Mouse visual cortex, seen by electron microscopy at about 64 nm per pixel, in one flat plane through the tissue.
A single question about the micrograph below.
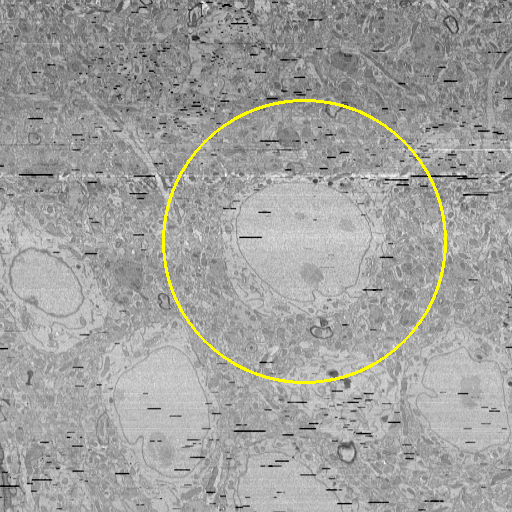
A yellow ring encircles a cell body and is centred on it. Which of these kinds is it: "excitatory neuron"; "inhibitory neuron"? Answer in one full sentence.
The cell body at the centre of the yellow ring belongs to an excitatory neuron.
